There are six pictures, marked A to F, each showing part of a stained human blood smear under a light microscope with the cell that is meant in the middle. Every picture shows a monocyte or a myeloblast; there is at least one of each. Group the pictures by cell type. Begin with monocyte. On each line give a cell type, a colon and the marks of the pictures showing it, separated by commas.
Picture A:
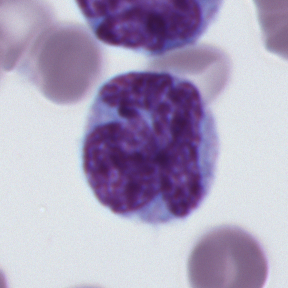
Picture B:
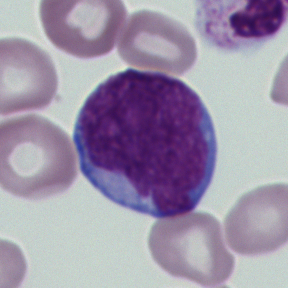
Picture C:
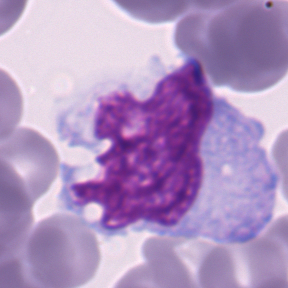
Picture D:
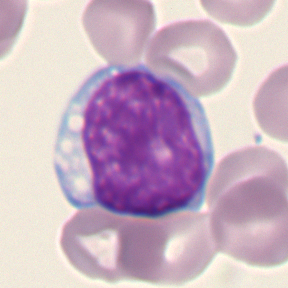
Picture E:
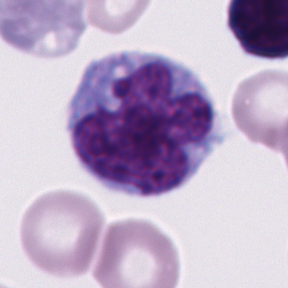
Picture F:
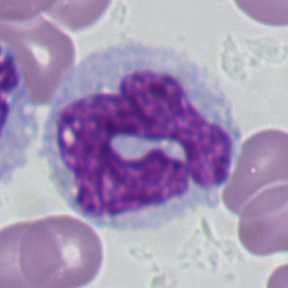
monocyte: A, C, E, F
myeloblast: B, D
